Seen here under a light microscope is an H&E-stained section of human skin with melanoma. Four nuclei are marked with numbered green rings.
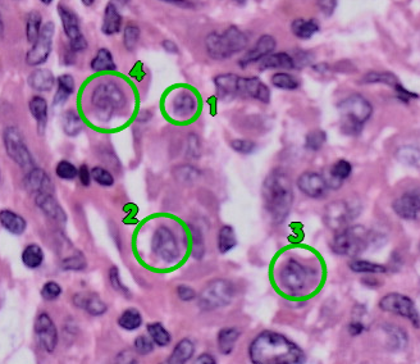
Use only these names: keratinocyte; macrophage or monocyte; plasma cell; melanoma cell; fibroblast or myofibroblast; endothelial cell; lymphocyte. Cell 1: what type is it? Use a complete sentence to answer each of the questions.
As for number 1, that cell is a macrophage or monocyte.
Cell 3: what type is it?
Looking at the numbered marks, cell 3 is a melanoma cell.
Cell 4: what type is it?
The identity of cell 4 is that of a melanoma cell.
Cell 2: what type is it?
Here, the cell given the number 2 is a melanoma cell.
